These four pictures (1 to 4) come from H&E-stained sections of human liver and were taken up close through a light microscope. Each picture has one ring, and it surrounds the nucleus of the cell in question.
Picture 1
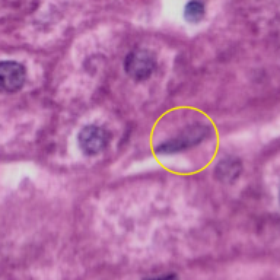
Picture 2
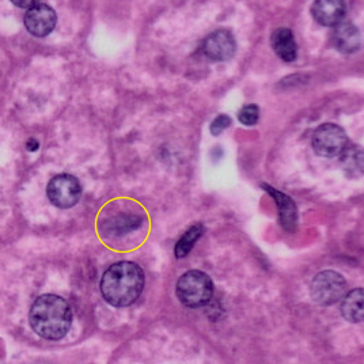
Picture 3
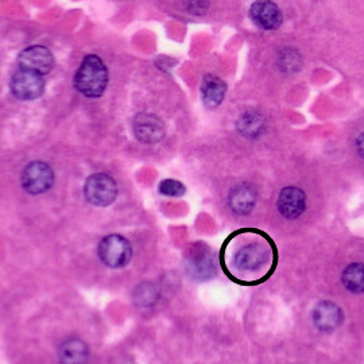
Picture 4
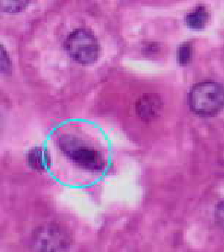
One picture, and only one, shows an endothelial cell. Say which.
2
